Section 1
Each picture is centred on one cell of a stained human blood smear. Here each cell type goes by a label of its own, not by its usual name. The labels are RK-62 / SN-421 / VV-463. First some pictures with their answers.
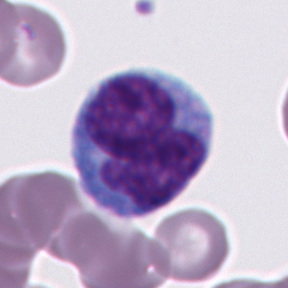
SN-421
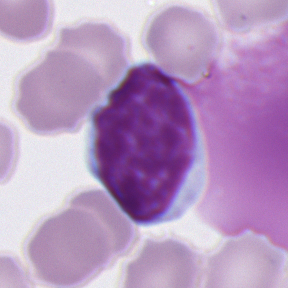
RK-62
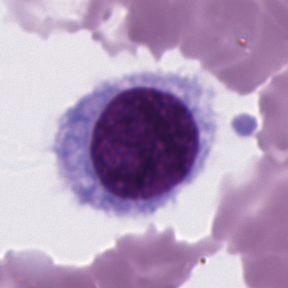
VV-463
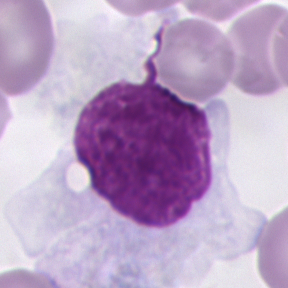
VV-463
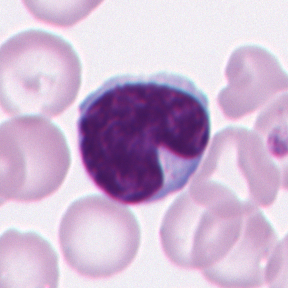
RK-62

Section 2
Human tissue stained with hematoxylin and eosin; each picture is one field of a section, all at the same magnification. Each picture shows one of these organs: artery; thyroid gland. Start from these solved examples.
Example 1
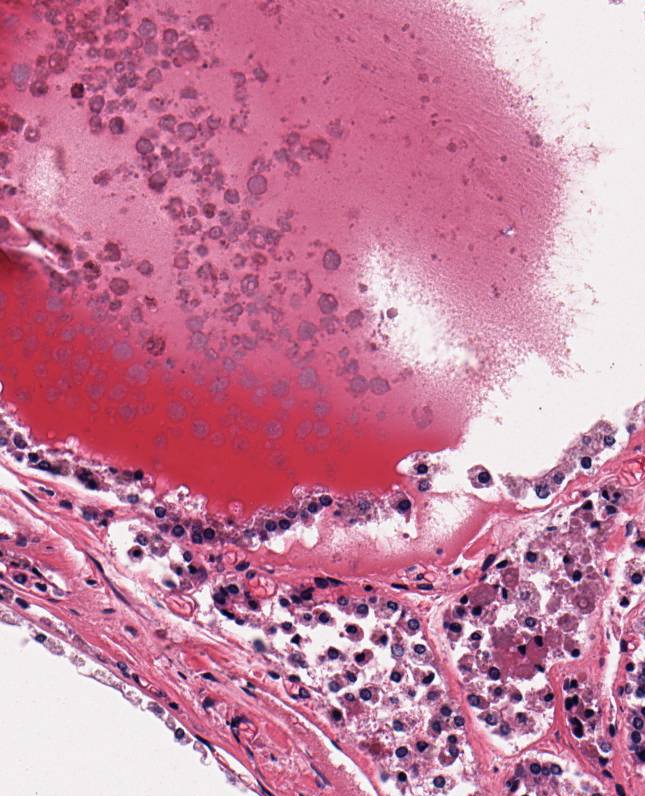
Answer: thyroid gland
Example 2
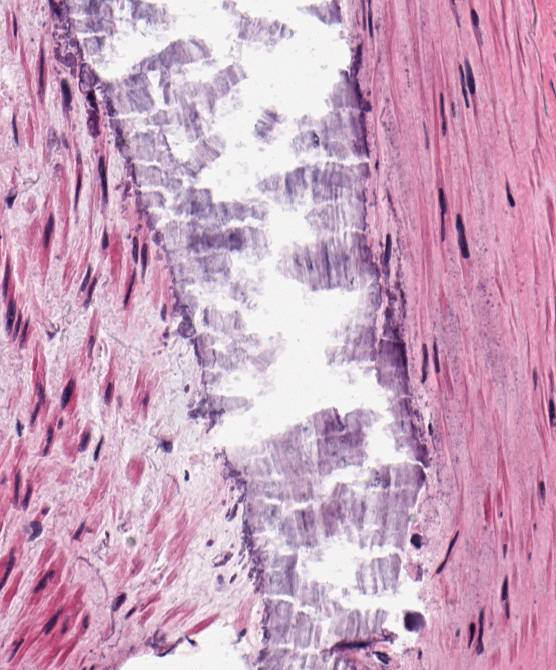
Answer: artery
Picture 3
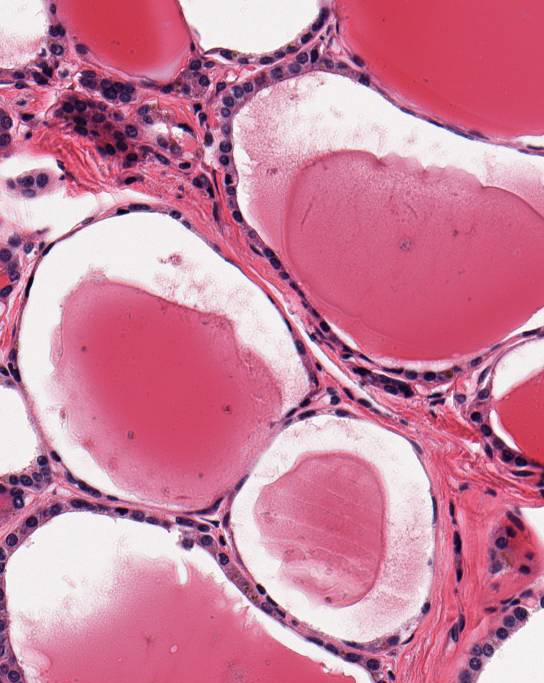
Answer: thyroid gland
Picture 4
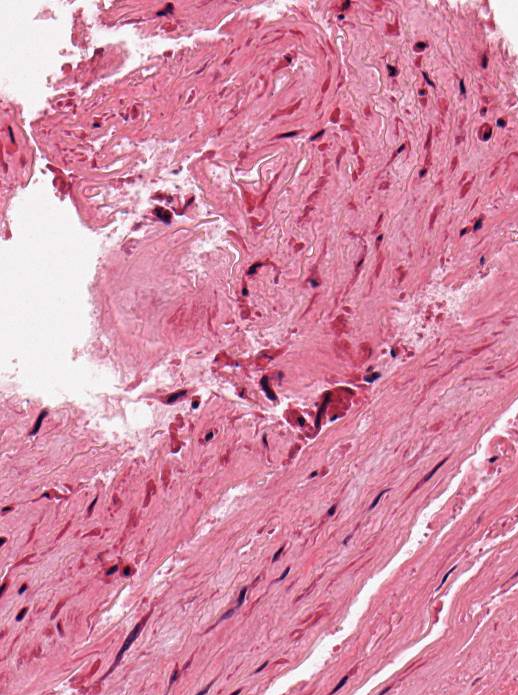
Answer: artery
